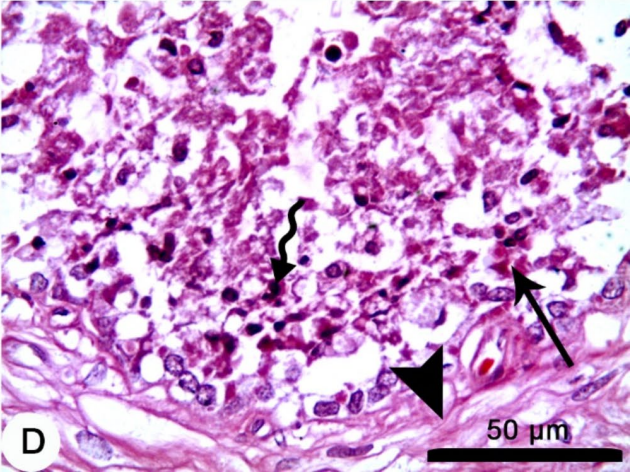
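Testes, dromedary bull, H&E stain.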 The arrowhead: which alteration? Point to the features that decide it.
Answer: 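The arrowhead points to pink fibrous layers at the edge of the tubule. Flat elongated nuclei lie within the fibrous band.
Peritubular fibrosis.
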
